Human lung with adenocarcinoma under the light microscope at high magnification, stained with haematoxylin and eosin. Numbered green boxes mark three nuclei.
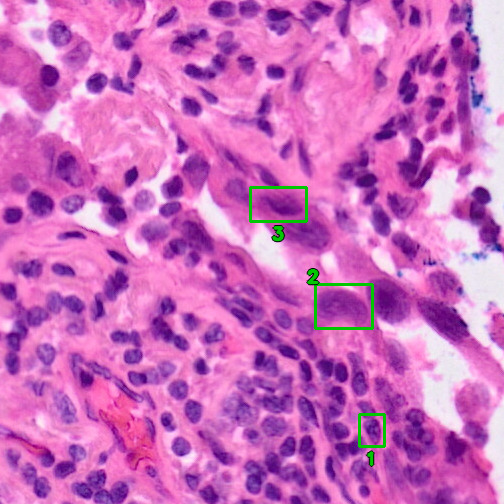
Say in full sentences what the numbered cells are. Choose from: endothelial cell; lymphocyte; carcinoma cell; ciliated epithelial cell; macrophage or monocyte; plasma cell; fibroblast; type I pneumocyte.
Cell 1 is a lymphocyte. Cells 2 and 3 are carcinoma cells.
